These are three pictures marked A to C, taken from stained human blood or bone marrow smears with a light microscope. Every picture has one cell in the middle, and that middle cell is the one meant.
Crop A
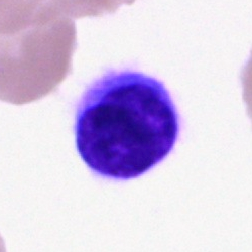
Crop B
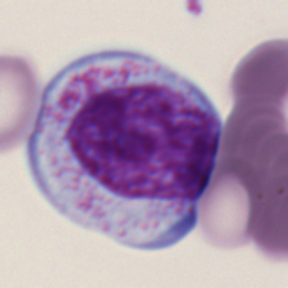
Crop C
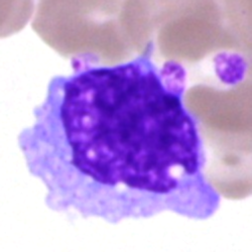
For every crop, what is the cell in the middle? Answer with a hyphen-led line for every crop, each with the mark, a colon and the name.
- A: lymphocyte
- B: myelocyte
- C: monocyte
